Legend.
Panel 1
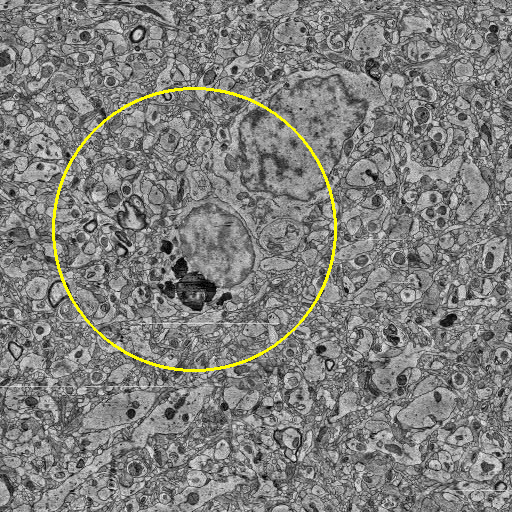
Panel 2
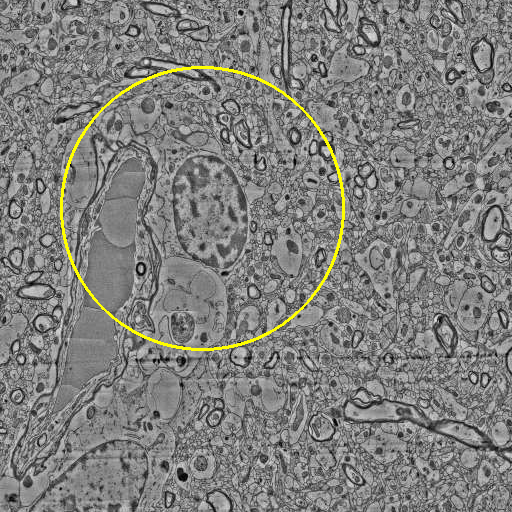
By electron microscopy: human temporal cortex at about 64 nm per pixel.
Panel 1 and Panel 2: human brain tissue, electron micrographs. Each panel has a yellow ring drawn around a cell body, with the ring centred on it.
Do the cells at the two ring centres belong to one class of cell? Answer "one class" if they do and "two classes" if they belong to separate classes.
two classes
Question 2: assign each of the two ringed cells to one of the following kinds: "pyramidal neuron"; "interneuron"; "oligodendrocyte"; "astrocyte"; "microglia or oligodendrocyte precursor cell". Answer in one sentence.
The two cells are an oligodendrocyte in the first picture and a microglial cell or oligodendrocyte precursor cell in the second.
